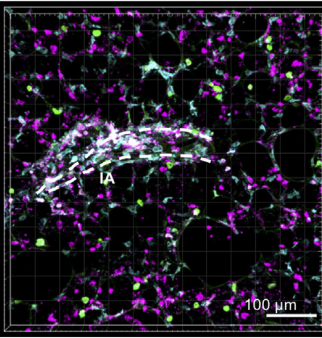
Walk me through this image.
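Lung tissue with thin septa enclosing rounded alveolar airspaces, crossed by an outlined small artery. A dense band of turquoise and white cells with branched outlines lies along the artery wall, while many rounded purple cells and scattered round bright green cells are spread through the surrounding septa and airspaces.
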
